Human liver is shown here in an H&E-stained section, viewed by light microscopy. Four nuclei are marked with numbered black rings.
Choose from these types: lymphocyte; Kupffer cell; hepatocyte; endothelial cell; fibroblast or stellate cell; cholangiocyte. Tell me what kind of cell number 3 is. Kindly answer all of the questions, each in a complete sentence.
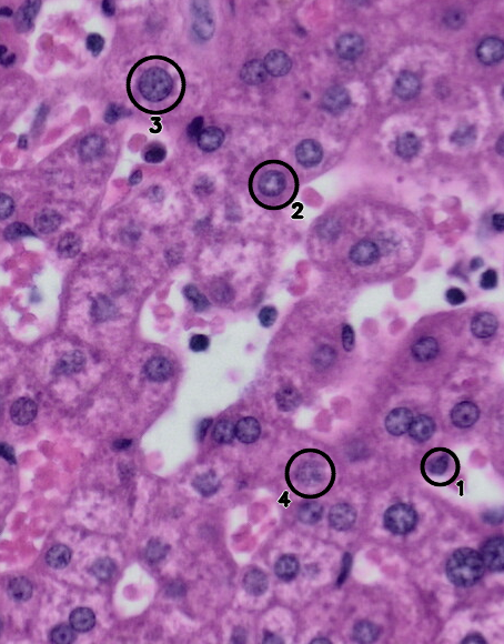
Heads up, the cell numbered 3 is a hepatocyte.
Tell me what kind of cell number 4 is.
At number 4, the marked cell is a hepatocyte.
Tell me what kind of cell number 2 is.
Marked with the number 2, this cell is a hepatocyte.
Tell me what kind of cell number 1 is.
The cell with the number 1 is a Kupffer cell.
